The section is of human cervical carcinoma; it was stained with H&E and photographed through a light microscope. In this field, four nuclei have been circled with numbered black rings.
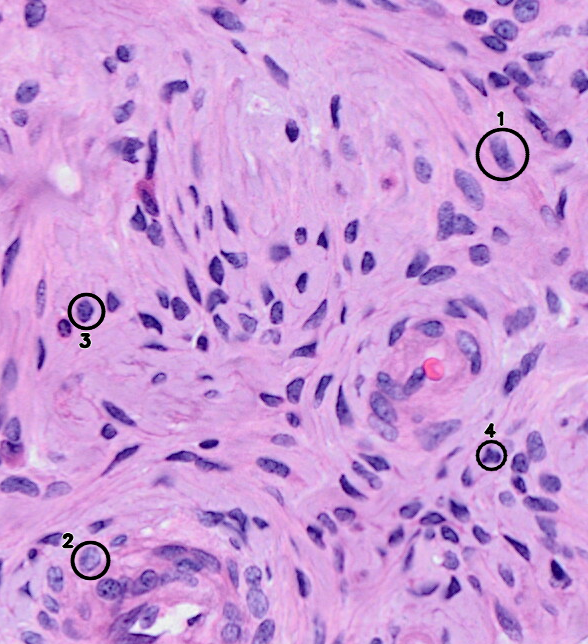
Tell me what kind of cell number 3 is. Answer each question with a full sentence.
Number 3 is placed on a fibroblast here.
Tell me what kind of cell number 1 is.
The numbered cell 1 is identified here as a fibroblast.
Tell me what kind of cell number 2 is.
The cell bearing label 2 corresponds to a smooth muscle cell.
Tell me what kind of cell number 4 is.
Cell 4, as marked in the section, is a fibroblast.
